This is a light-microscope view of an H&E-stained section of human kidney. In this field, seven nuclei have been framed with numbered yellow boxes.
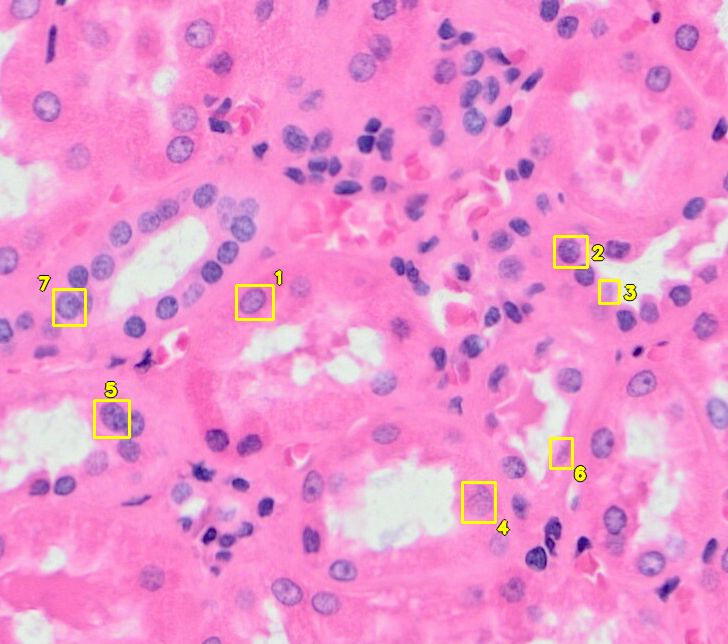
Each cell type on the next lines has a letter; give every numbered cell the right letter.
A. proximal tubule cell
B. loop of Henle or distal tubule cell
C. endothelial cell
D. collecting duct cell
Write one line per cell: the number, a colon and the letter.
1: A
2: B
3: B
4: A
5: B
6: B
7: D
